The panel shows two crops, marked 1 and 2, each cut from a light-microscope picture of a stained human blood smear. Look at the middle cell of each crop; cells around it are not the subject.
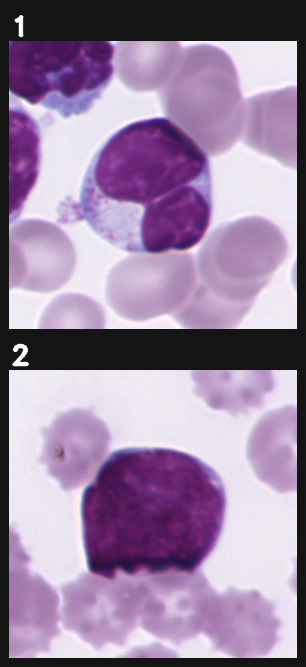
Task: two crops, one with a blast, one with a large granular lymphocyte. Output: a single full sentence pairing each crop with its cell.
Crop 1 features a large granular lymphocyte, and crop 2 features a blast.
